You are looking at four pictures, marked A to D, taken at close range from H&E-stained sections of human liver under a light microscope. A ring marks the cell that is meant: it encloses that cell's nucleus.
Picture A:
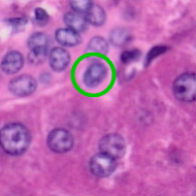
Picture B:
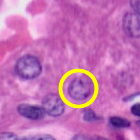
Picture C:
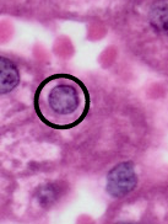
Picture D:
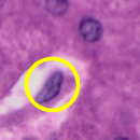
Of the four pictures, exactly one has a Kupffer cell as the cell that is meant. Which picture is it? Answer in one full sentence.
Picture D shows the Kupffer cell.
